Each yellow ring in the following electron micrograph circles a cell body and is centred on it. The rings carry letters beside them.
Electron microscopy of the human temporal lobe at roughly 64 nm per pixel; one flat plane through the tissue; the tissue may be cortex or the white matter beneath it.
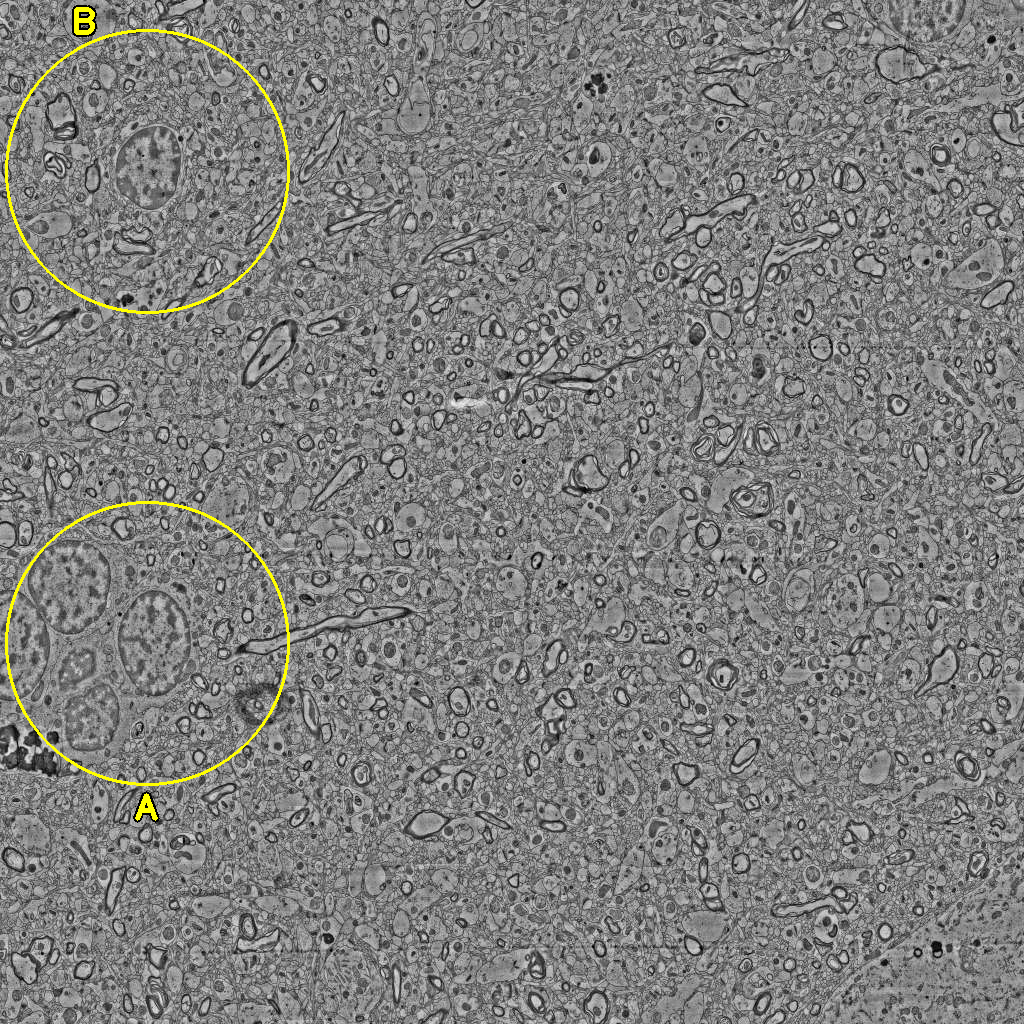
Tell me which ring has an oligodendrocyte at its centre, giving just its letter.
A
